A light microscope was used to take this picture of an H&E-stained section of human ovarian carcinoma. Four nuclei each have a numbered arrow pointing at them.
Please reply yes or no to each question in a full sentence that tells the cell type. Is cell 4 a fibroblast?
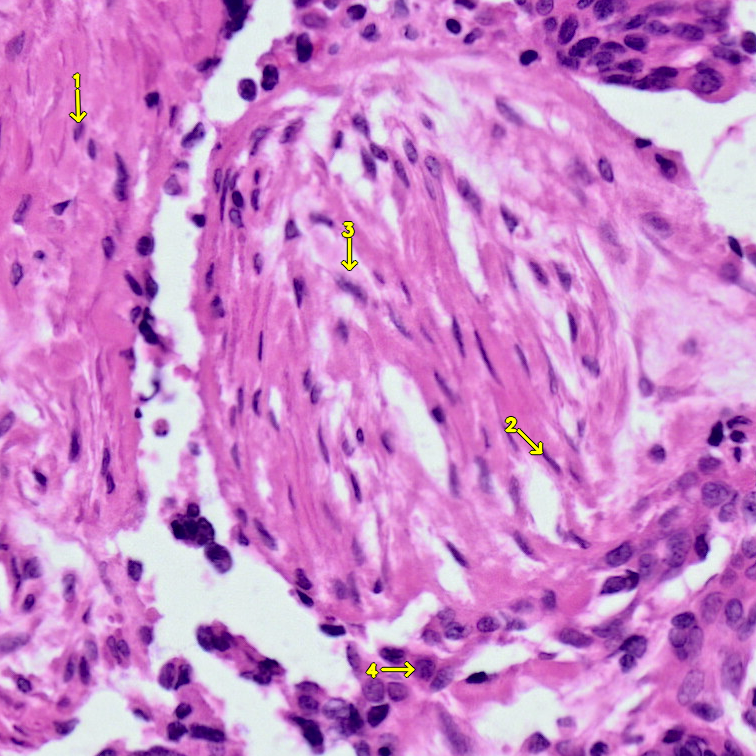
No, in terms of cell type, cell 4 is a carcinoma cell, not a fibroblast.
